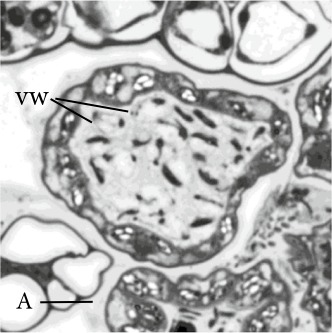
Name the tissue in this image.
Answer: antheridium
